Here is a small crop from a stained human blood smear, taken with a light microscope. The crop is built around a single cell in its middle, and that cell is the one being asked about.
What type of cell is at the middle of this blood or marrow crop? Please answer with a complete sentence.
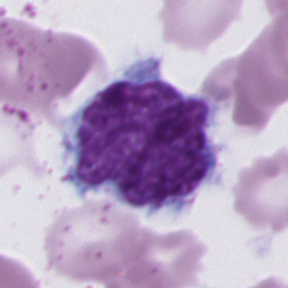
This crop has a monocyte at its centre.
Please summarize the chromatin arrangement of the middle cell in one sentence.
Its chromatin is clumped in a coarse pattern.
